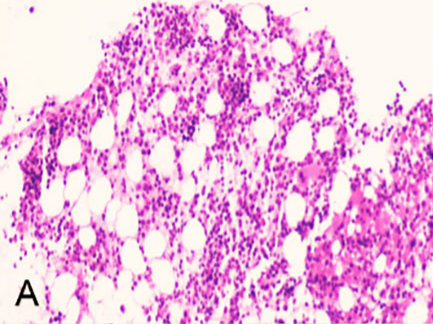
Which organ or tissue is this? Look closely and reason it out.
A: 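Bone marrow. Densely packed small round nucleated cells fill the spaces between tissue. Many round, empty, clear spaces of fat cells are scattered among the cells. Pink-stained areas and scattered purple nuclei of mixed sizes.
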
